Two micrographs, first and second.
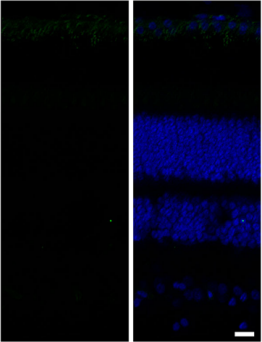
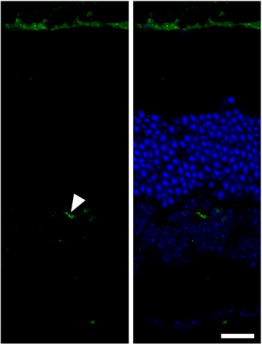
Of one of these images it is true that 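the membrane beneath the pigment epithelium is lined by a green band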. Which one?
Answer: The second image.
